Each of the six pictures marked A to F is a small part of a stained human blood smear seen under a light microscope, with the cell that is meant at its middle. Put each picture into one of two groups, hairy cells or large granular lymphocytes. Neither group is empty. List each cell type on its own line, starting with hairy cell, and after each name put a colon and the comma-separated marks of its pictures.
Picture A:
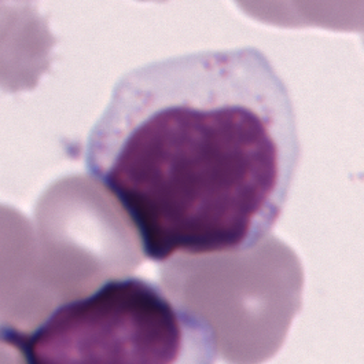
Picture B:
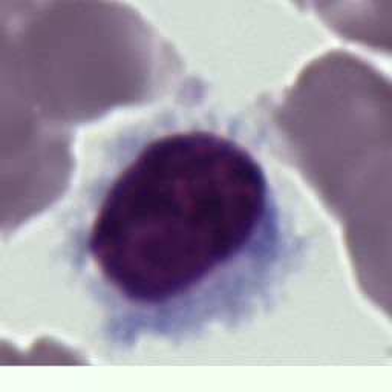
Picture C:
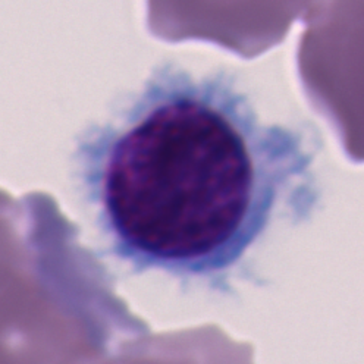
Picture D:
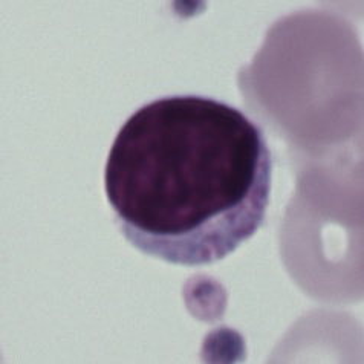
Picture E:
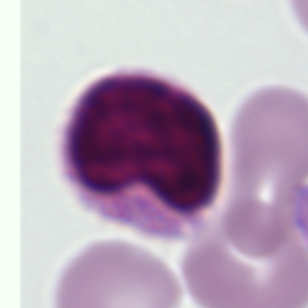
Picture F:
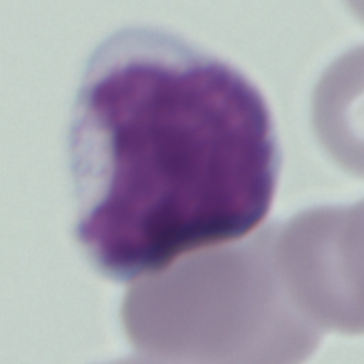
hairy cell: B, C
large granular lymphocyte: A, D, E, F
